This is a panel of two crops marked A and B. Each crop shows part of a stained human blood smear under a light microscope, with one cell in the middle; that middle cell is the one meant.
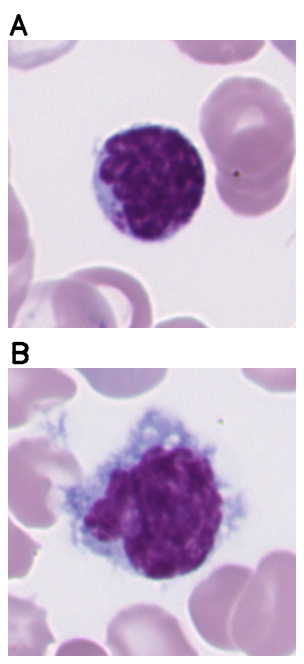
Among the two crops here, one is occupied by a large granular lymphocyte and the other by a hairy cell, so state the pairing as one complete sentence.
Identification: crop A is a large granular lymphocyte; crop B is a hairy cell.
